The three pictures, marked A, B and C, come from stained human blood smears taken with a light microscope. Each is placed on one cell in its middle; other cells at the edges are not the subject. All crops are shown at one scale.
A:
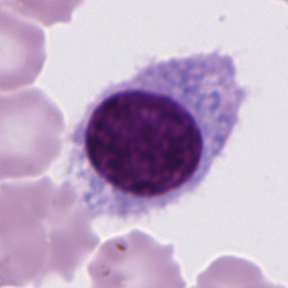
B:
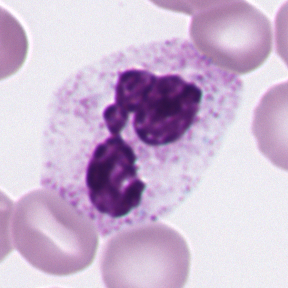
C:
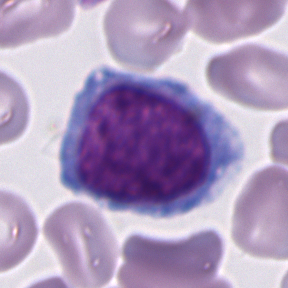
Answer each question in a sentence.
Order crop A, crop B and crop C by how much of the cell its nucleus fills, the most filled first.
They run C, A, B, the most filled first.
